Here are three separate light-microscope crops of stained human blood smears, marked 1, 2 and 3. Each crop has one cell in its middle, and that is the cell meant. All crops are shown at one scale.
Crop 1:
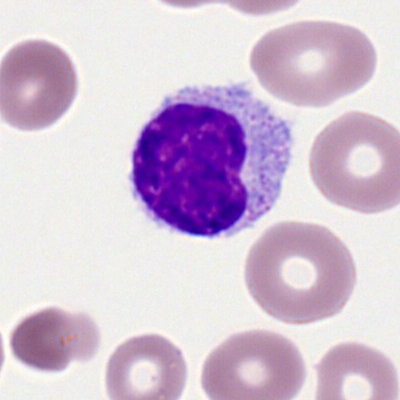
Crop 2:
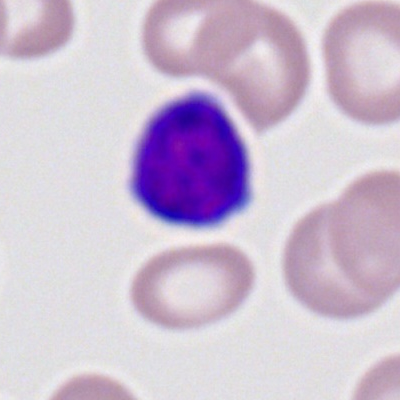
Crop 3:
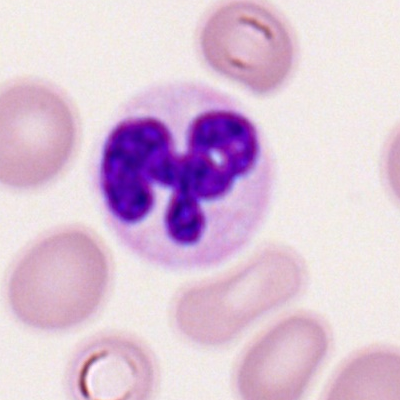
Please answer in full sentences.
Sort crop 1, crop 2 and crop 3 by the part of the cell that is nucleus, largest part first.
From the most filled to the least, the order is 2, 1, 3.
